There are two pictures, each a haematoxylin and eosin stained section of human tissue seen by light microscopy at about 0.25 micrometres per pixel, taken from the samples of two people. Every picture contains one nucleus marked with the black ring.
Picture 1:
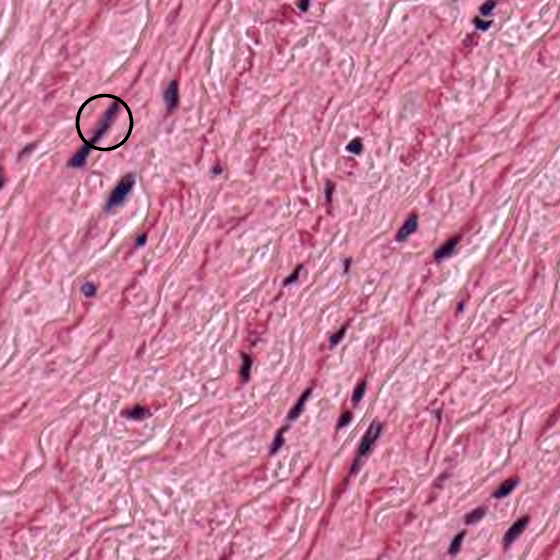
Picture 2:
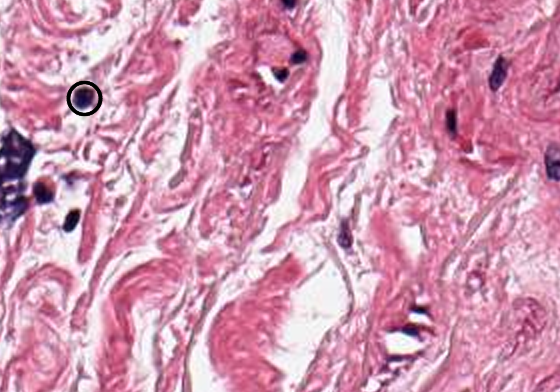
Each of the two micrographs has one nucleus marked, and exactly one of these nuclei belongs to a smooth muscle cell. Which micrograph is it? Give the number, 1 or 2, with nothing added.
1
